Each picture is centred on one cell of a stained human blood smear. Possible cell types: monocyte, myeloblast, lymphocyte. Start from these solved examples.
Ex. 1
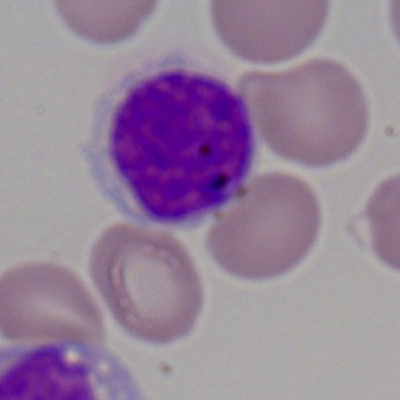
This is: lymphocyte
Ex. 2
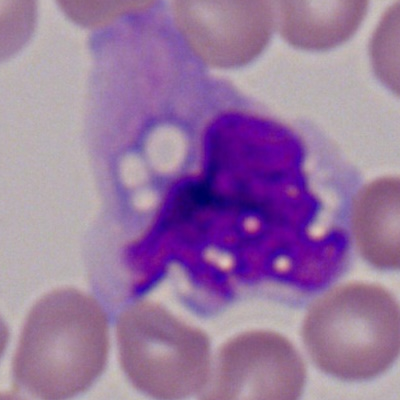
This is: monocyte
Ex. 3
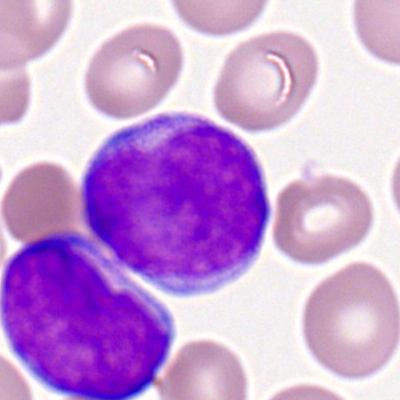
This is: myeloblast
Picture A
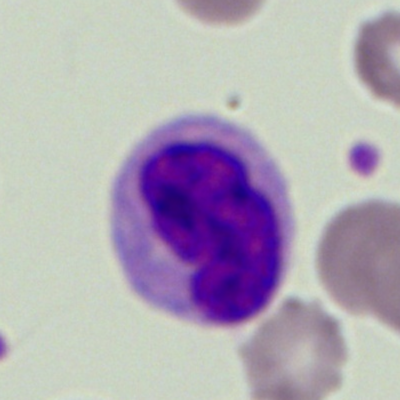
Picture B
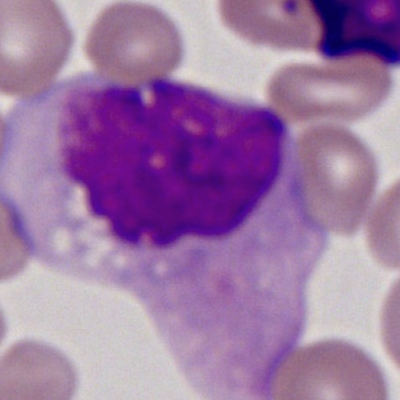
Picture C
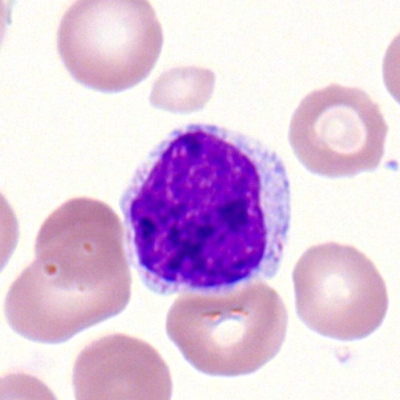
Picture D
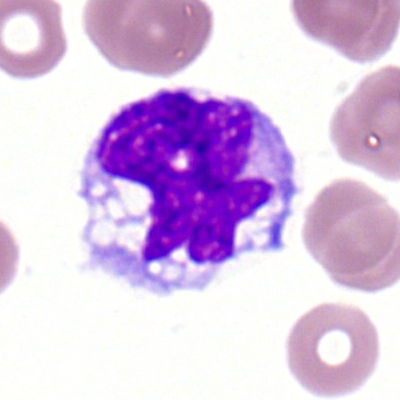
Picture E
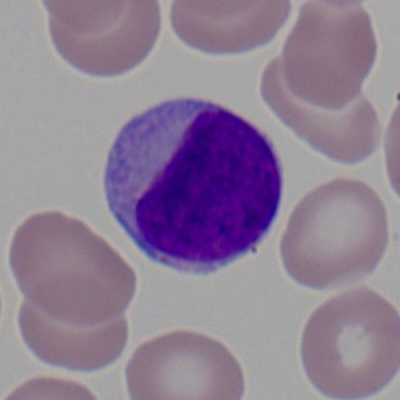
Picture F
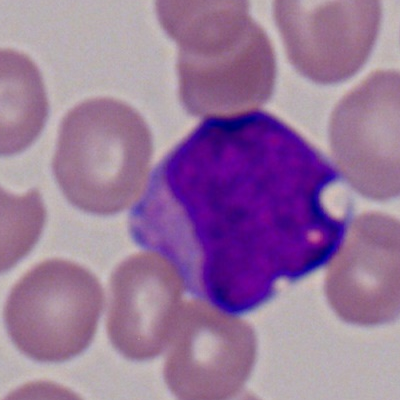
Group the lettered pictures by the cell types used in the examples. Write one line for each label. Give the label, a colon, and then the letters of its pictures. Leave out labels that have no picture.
monocyte: A, B, D
myeloblast: E, F
lymphocyte: C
